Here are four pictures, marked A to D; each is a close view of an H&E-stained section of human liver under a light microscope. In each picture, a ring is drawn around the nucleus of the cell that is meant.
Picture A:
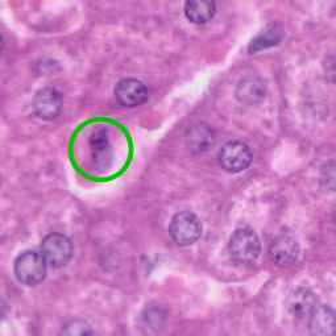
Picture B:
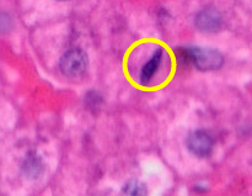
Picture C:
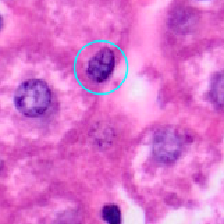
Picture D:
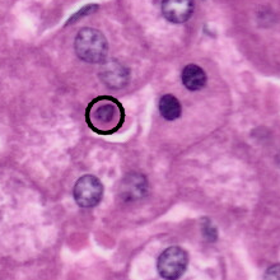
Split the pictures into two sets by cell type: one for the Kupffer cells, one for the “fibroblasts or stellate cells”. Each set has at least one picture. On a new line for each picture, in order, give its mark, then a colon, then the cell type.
A: Kupffer cell
B: fibroblast or stellate cell
C: fibroblast or stellate cell
D: Kupffer cell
